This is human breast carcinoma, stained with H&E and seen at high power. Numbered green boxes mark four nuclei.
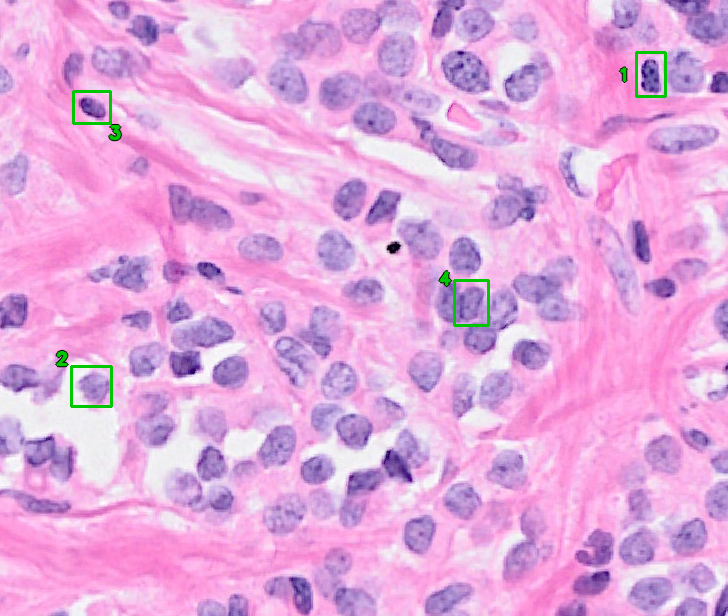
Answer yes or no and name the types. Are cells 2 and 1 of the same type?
No, classify cell 2 as a carcinoma cell and cell 1 as a lymphocyte.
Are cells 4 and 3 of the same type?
No, cell 4 is a carcinoma cell and cell 3 is a lymphocyte.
